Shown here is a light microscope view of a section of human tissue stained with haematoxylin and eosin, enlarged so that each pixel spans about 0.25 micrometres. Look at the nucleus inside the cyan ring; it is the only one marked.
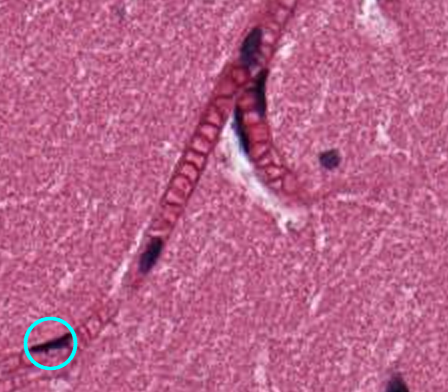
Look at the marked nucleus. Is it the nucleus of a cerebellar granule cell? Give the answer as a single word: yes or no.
no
